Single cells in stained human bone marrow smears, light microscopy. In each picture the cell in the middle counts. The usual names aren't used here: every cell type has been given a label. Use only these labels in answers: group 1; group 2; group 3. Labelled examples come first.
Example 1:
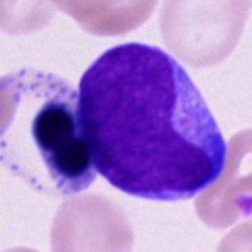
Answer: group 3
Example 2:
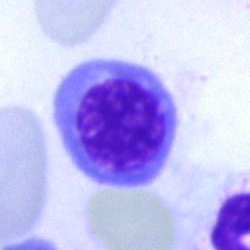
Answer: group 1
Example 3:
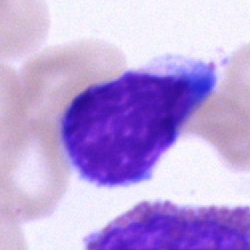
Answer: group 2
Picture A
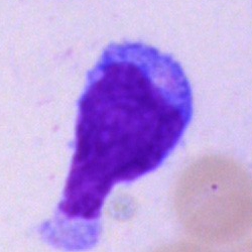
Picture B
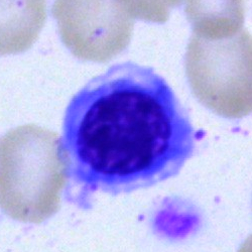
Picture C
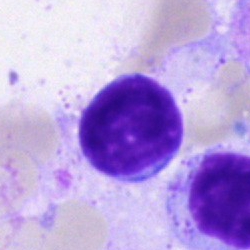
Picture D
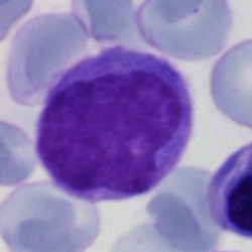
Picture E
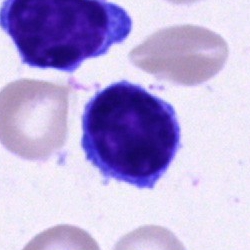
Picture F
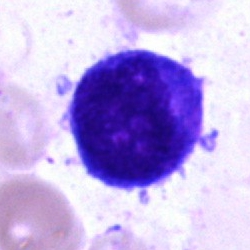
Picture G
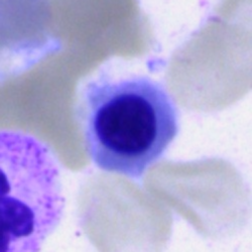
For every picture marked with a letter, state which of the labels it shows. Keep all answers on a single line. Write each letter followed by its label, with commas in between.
A group 3, B group 1, C group 2, D group 3, E group 2, F group 3, G group 1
